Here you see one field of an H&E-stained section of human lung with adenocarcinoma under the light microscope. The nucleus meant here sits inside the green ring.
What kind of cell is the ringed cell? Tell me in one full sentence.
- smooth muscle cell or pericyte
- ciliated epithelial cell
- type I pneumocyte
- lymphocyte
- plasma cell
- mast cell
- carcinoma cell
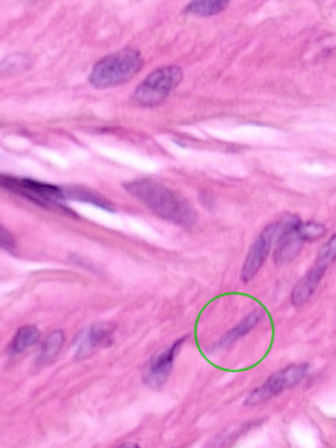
In this tissue sample, the ringed cell is a smooth muscle cell or pericyte.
